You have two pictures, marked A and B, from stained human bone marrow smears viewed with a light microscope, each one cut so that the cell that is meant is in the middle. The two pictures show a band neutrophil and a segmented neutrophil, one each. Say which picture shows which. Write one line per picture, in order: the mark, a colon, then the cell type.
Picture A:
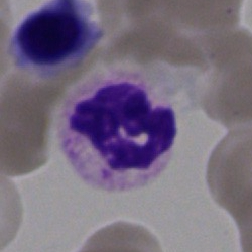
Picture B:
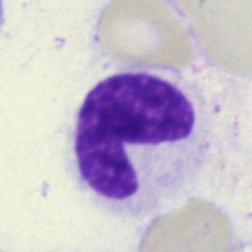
A: segmented neutrophil
B: band neutrophil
